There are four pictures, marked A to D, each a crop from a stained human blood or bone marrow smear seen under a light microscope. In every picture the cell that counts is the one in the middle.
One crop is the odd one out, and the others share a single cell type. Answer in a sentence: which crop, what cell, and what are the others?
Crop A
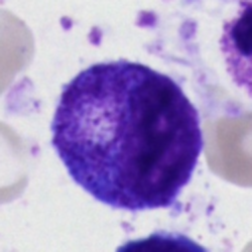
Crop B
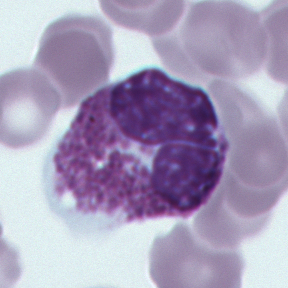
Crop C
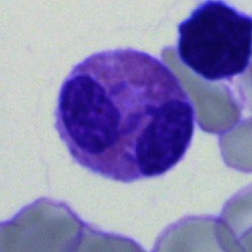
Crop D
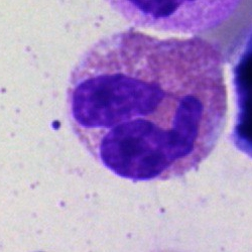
Crop A is the exception here: it is a promyelocyte, and the others are eosinophils.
